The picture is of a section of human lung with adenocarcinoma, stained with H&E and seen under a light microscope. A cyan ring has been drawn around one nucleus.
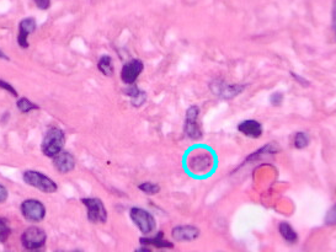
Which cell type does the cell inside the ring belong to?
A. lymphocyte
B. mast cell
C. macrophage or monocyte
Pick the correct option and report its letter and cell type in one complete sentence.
In this section the cell inside the ring is a mast cell; option B is therefore correct.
